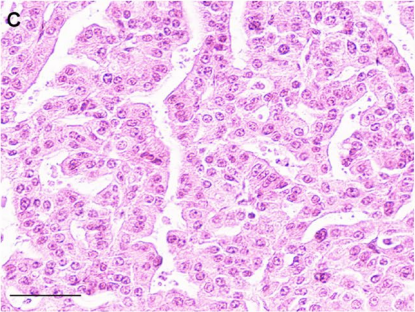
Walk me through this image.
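These are tumor cells lining thin papillary fronds, seen at high power. The cells are large and polygonal to cuboidal, with abundant pink, finely granular cytoplasm. Their nuclei are round or oval, fairly uniform, with fine chromatin and a distinct nucleolus in many. The cells sit in cords and layers along slender cores, separated by clear empty clefts, giving a branching, papillary arrangement. No stroma of note lies between the cell cords besides the thin cores.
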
